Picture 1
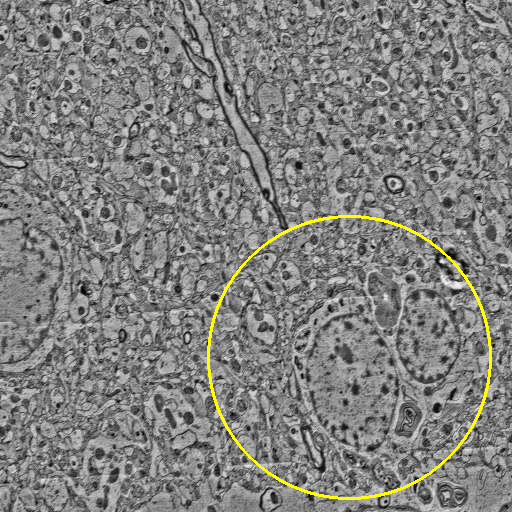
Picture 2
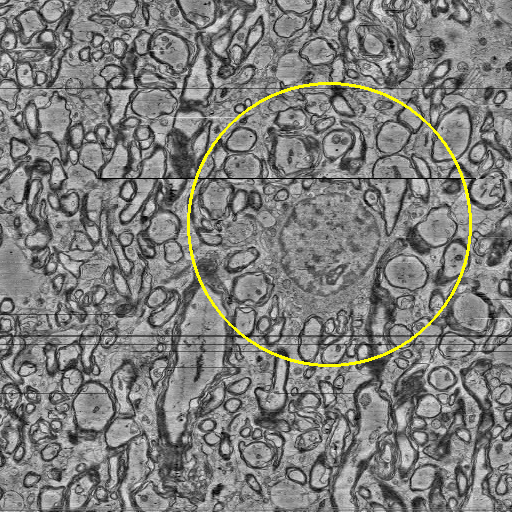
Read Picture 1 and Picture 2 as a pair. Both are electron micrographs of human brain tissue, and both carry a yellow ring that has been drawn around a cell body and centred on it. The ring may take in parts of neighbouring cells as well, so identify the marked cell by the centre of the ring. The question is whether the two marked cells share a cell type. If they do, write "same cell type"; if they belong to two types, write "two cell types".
two cell types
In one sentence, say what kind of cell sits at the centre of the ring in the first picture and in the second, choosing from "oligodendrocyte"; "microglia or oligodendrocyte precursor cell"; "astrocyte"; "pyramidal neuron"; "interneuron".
The first picture's ringed cell is an astrocyte, while the second picture's is an oligodendrocyte.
